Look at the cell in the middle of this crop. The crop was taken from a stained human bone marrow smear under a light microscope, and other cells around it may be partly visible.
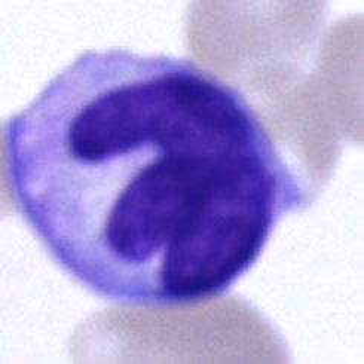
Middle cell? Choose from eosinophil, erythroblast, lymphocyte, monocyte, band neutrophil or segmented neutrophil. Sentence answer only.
The cell that lies at the centre of the crop is a monocyte.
